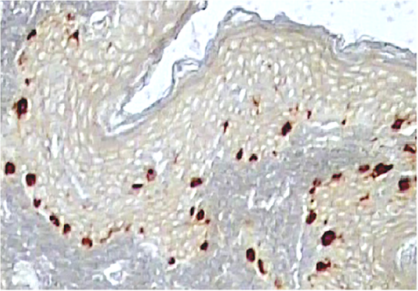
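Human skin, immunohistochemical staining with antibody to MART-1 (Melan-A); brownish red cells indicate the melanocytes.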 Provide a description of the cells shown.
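Some are rounded and a few show short tapering extensions between neighbouring cells. Above them the epidermis is made of many layers of pale, tan, unstained cells packed closely together, and a thin flattened layer covers the surface. Beneath the epidermis lies the looser grey-blue connective tissue of the dermis, which contains few red cells.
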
